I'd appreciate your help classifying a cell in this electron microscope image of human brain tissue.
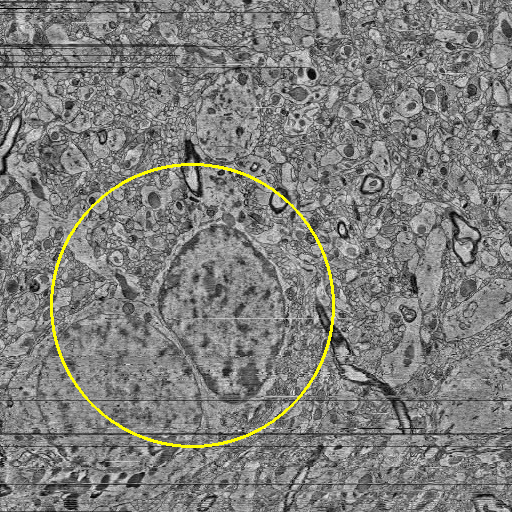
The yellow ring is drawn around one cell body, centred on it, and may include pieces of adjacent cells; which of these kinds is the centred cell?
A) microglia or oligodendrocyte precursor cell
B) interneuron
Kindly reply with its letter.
A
